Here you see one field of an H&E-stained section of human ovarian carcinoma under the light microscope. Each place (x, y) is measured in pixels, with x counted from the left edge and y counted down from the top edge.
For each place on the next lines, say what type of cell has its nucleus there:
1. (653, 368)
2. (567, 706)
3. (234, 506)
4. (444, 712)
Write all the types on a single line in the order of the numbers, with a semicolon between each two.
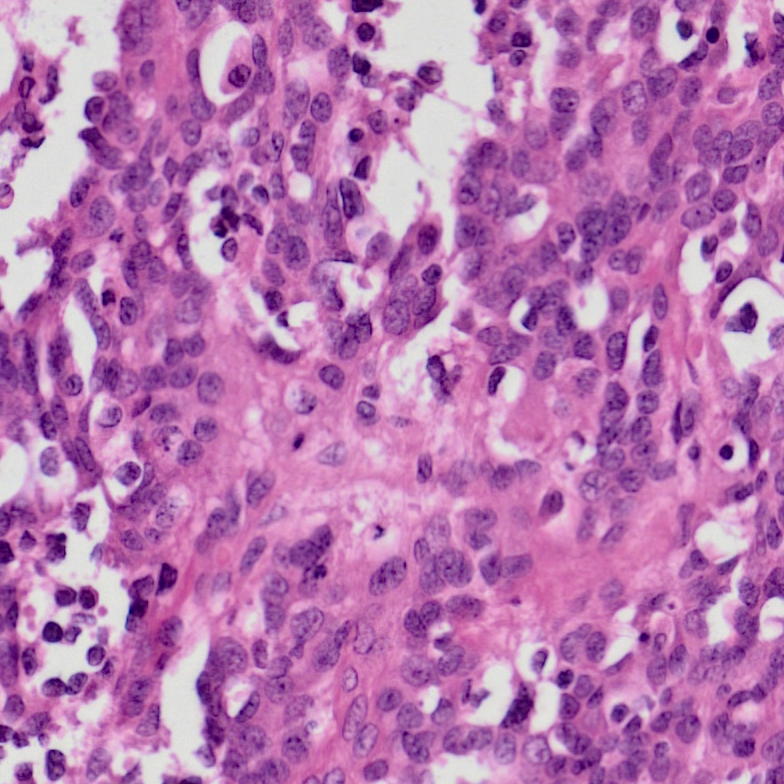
carcinoma cell; carcinoma cell; endothelial cell; carcinoma cell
